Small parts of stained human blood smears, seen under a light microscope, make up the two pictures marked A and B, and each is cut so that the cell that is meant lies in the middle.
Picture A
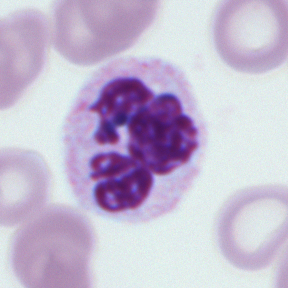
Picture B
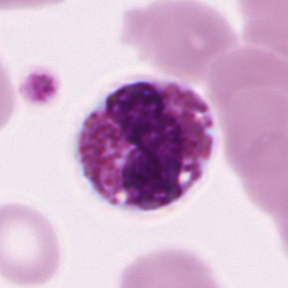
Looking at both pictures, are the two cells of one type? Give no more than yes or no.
no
